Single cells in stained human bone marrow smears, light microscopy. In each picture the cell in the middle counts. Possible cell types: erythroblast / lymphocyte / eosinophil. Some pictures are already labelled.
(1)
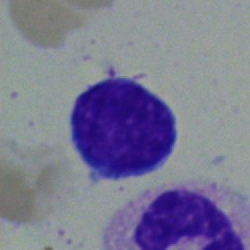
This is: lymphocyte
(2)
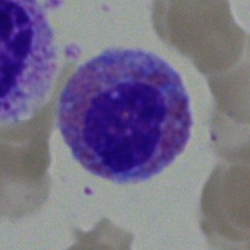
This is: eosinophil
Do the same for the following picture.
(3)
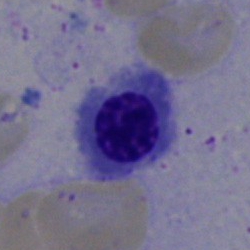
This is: erythroblast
